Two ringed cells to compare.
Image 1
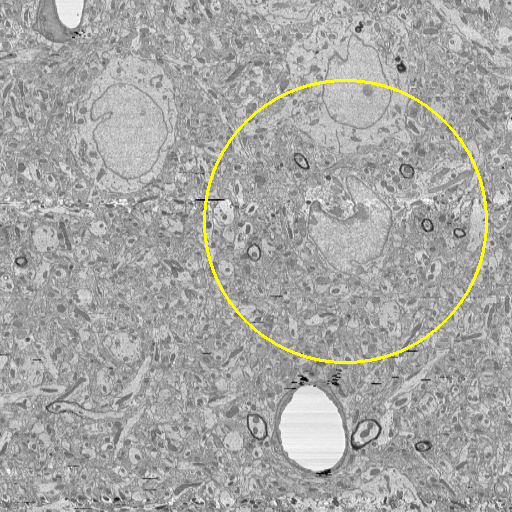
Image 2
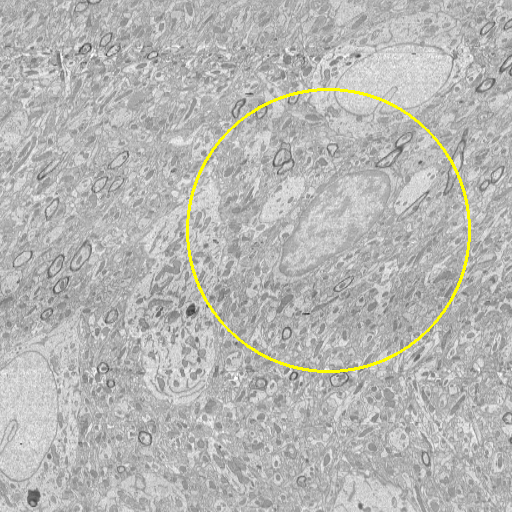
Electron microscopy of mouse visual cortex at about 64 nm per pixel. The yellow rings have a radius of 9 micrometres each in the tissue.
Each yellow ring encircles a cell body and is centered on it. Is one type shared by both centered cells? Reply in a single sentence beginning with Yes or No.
No, two types are found among the cells at the centers of the rings.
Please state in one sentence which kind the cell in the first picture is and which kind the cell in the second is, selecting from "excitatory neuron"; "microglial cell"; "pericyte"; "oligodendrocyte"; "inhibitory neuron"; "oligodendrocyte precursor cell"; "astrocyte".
The first ringed cell is an astrocyte, the second ringed cell an oligodendrocyte.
